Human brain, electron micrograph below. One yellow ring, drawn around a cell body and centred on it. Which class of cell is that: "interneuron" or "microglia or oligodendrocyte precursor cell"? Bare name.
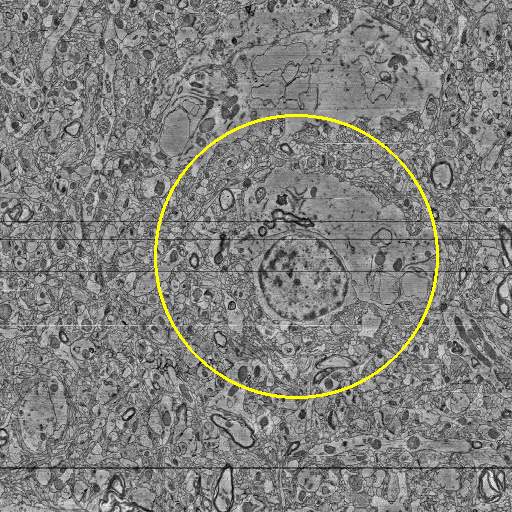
microglia or oligodendrocyte precursor cell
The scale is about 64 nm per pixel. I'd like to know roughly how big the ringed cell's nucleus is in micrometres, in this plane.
The nucleus measures about 6 micrometers across in this plane.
